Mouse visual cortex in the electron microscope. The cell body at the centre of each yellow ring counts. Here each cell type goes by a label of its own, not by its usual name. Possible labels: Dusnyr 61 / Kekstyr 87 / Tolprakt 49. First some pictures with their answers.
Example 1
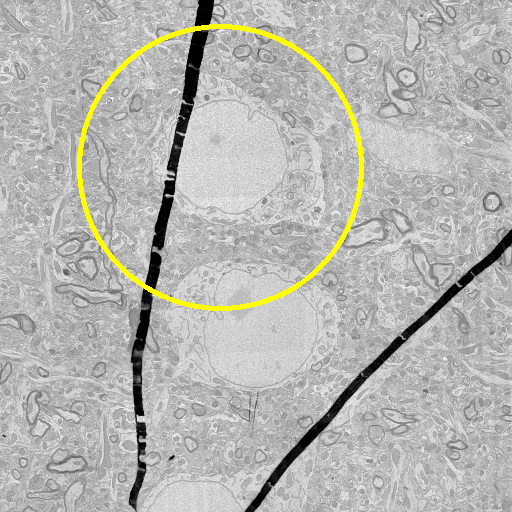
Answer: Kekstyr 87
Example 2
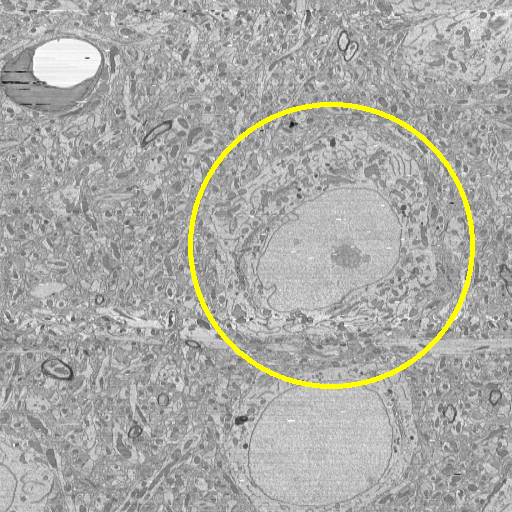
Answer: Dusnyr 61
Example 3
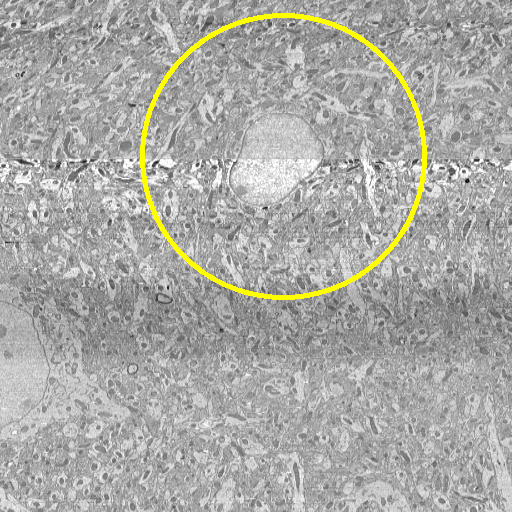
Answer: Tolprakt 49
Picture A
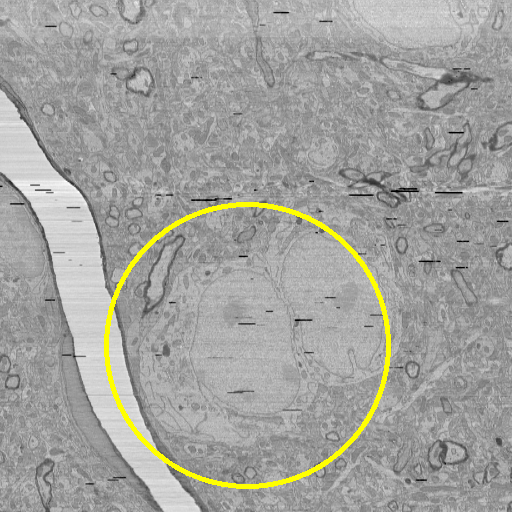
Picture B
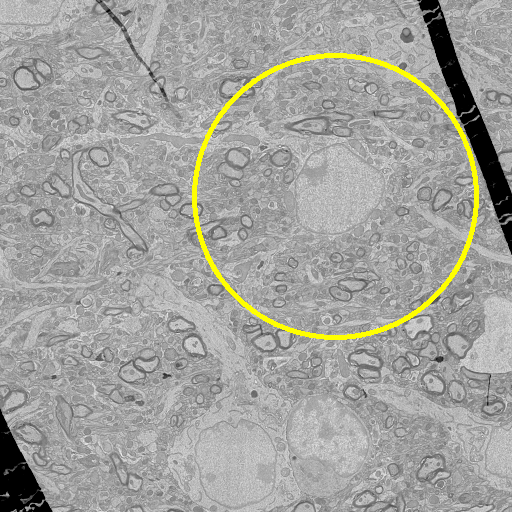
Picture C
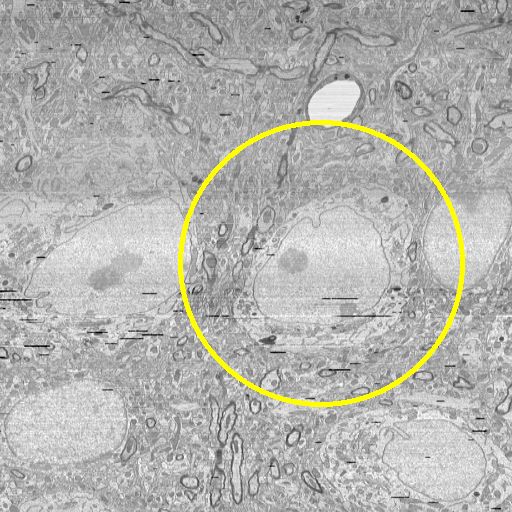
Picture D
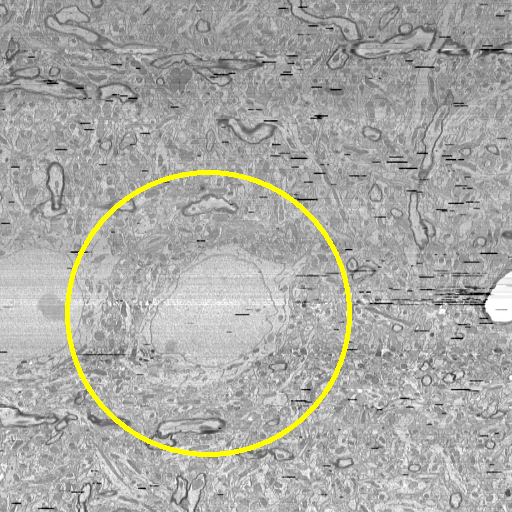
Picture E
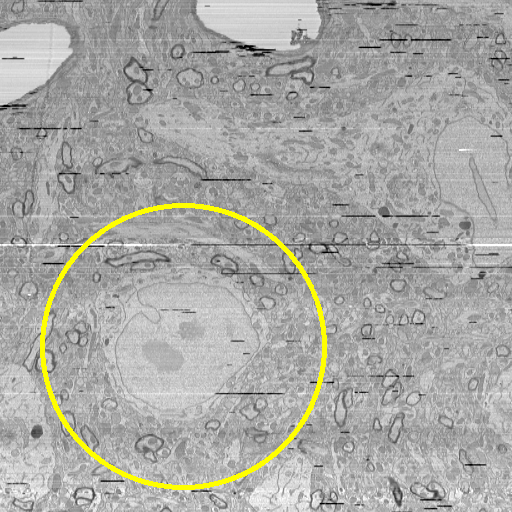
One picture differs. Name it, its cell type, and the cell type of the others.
Exception: B, showing Tolprakt 49. Remaining pictures: Kekstyr 87.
